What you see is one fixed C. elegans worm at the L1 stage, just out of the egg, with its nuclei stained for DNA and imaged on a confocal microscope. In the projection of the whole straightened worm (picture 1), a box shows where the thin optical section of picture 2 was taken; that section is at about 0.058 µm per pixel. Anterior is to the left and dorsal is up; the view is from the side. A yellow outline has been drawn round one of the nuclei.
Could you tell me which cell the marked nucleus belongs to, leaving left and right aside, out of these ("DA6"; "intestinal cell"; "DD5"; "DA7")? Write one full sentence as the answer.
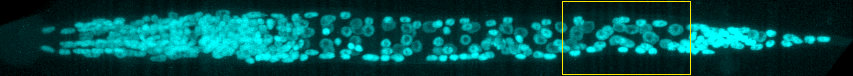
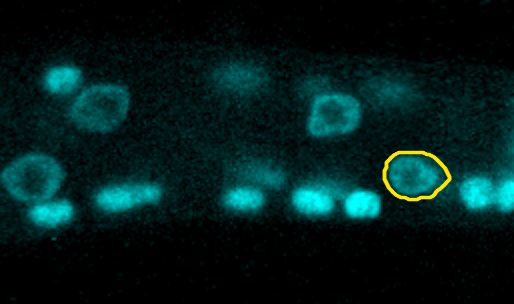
The marked nucleus is that of an intestinal cell.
